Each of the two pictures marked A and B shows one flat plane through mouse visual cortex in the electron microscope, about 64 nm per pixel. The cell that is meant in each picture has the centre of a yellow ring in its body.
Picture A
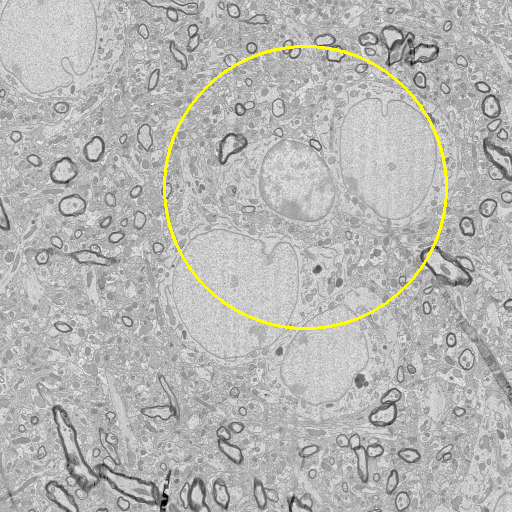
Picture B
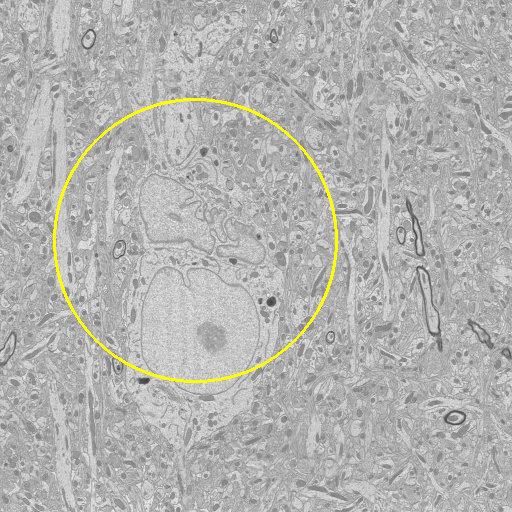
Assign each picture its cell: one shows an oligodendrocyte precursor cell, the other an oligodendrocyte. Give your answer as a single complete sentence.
It is picture A that shows an oligodendrocyte, and picture B that shows an oligodendrocyte precursor cell.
